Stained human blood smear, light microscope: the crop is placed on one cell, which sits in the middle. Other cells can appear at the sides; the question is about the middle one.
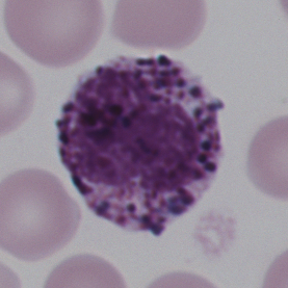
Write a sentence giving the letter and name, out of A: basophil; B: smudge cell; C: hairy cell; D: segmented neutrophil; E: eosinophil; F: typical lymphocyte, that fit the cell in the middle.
Of the choices given, option A is right, as the central cell is a basophil.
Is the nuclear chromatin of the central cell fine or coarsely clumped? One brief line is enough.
The chromatin is fine, with no coarse clumping anywhere.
